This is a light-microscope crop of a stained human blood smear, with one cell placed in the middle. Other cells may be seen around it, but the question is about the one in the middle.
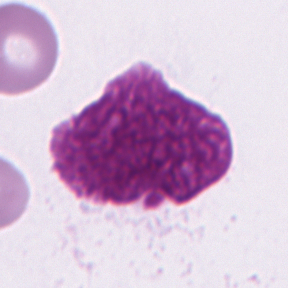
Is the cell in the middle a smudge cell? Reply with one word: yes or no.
yes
